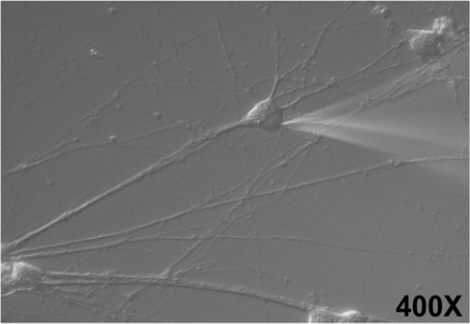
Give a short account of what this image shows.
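Several long, thin processes leave the cell body, branch, and run across the field. Some of them form bundles with processes from other cell bodies at the edges of the image. A tapered glass pipette comes in from the right and touches the cell body.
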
